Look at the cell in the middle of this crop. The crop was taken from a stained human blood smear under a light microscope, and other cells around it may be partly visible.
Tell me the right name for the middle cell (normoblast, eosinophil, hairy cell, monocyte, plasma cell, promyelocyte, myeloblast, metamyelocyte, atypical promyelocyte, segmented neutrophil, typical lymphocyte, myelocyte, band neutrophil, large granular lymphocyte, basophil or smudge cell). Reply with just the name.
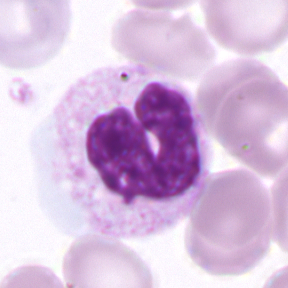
band neutrophil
